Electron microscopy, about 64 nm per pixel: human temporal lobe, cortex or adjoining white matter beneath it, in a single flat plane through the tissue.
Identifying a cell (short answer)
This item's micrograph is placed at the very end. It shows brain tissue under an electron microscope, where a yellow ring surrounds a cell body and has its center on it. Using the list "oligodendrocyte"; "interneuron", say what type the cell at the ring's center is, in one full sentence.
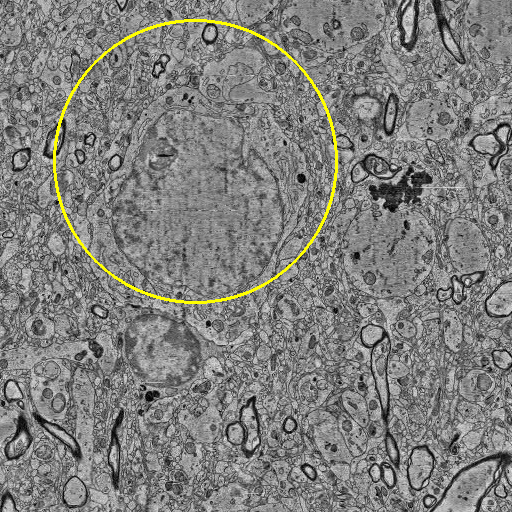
This picture shows an interneuron at the center of the yellow ring drawn on it.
